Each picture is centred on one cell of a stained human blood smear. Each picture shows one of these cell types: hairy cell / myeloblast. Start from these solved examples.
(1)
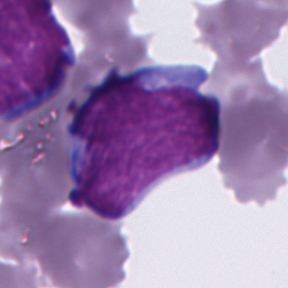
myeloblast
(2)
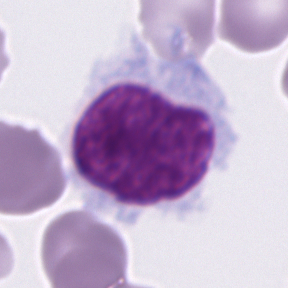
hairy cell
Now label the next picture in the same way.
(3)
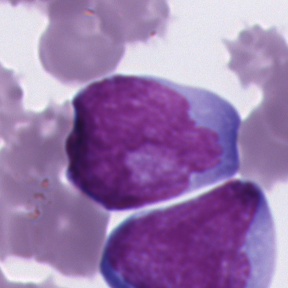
myeloblast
